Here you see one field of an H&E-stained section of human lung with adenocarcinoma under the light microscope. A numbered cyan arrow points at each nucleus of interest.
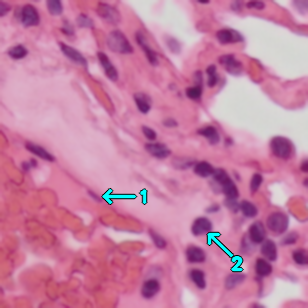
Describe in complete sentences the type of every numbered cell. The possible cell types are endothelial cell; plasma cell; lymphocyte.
Cell 1 is an endothelial cell. Cell 2 is a lymphocyte.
